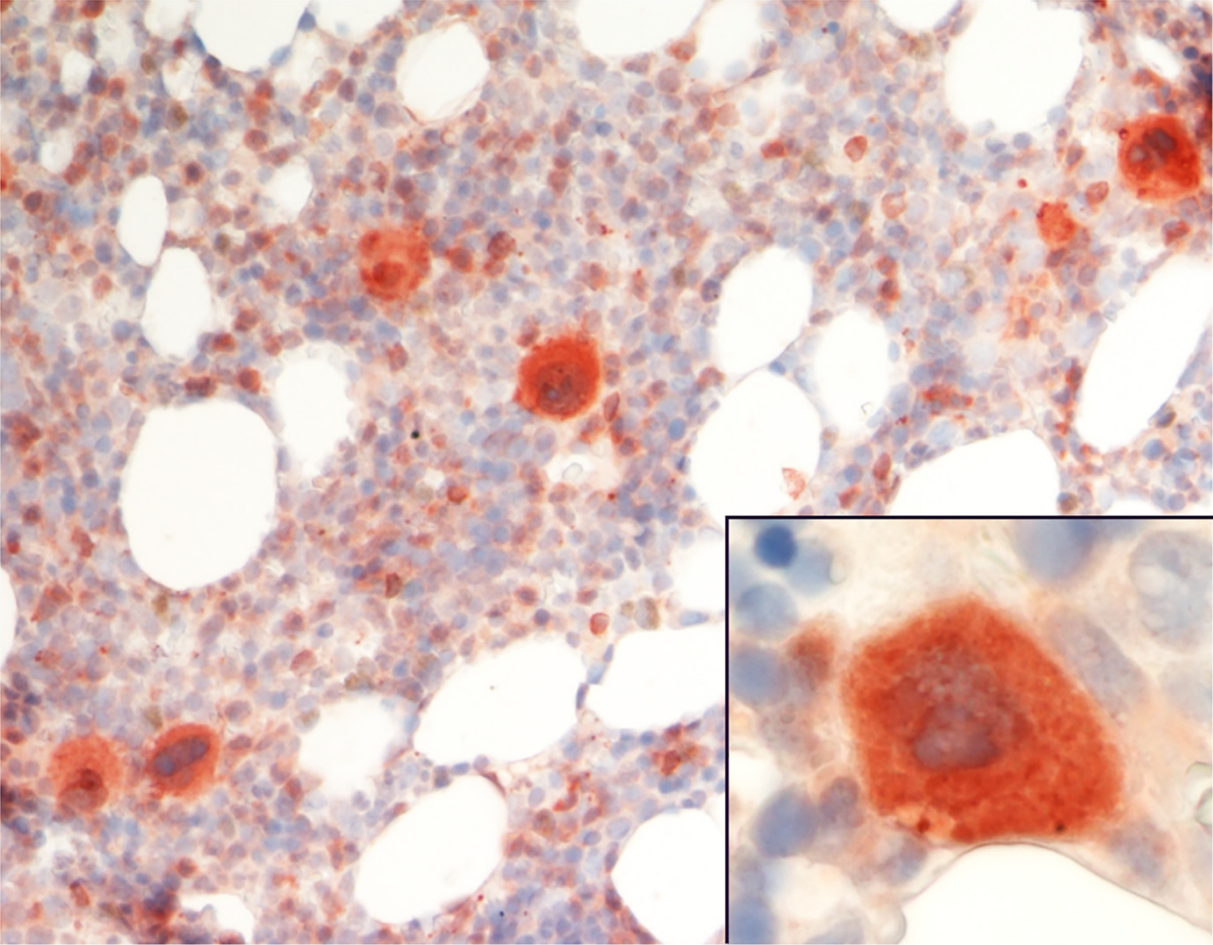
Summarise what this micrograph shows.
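This section of bone marrow shows a few scattered megakaryocytes standing out among densely packed small hematopoietic cells and many round, empty fat spaces. The megakaryocytes are far larger than the neighbouring cells, with plentiful cytoplasm stained intensely red and large, lobulated nuclei in the centre. The surrounding small round cells have blue nuclei, and many of them show weaker red staining of their own. In the higher-magnification inset, one megakaryocyte lies against the edge of a fat space. Its red cytoplasm has a finely granular texture around a paler, irregular nucleus.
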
